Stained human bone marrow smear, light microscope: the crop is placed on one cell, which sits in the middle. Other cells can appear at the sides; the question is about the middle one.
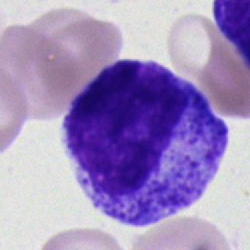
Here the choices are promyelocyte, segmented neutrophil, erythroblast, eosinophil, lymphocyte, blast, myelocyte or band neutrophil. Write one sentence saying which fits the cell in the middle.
The central cell, amid any neighbouring cells, is a myelocyte.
